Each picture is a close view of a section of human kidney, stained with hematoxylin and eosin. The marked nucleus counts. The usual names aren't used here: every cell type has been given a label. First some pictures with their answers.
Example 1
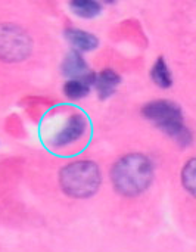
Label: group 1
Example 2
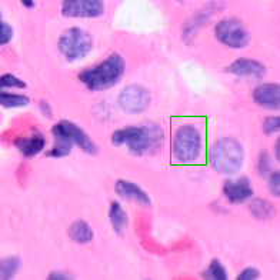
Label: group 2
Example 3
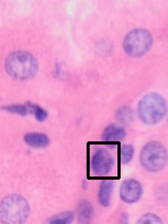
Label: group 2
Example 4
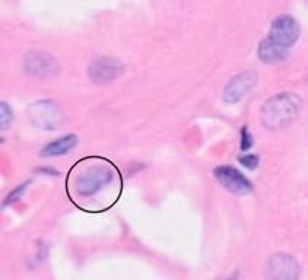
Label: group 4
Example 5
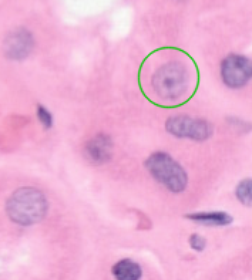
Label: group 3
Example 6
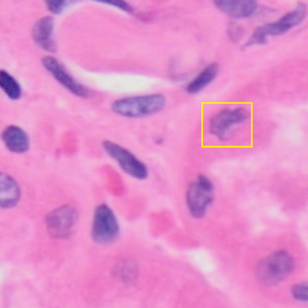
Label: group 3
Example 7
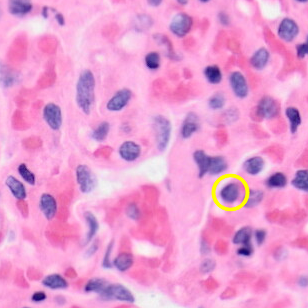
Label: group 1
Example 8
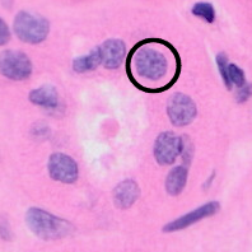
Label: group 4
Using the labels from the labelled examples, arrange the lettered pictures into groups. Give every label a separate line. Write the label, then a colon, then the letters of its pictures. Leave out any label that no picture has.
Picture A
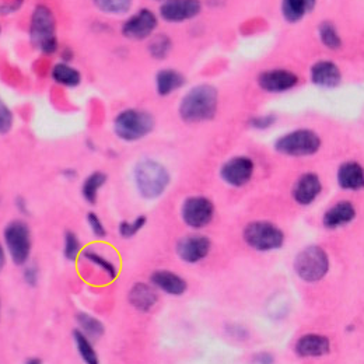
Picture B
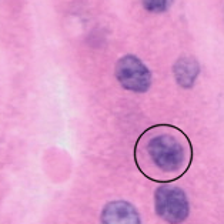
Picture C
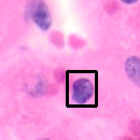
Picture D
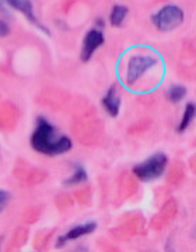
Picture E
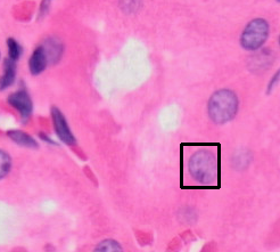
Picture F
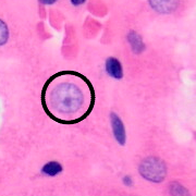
group 1: A, D
group 3: B, C, E, F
